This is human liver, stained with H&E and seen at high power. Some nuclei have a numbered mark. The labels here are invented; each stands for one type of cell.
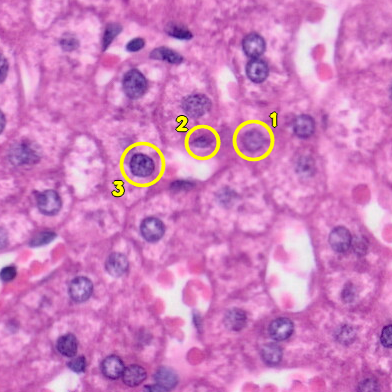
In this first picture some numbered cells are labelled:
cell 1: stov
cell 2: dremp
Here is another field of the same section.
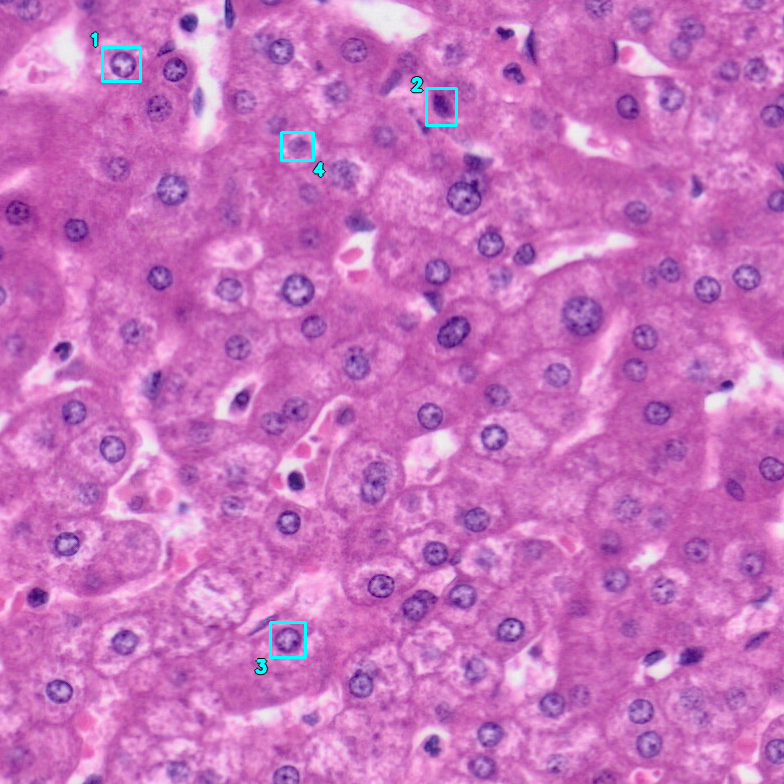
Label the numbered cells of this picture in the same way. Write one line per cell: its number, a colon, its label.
1: stov
2: dremp
3: stov
4: stov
